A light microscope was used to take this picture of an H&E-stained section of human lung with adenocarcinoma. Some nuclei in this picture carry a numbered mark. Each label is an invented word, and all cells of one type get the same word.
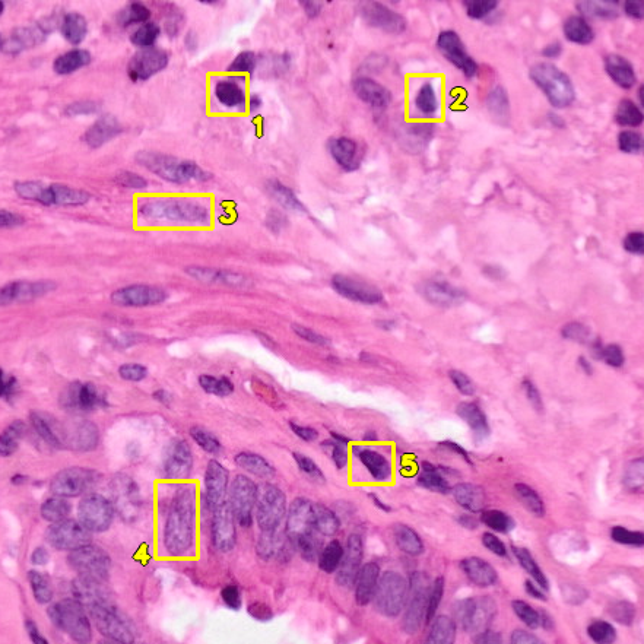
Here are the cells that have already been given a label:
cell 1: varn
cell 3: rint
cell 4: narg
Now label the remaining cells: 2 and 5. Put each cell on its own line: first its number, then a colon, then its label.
2: varn
5: varn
